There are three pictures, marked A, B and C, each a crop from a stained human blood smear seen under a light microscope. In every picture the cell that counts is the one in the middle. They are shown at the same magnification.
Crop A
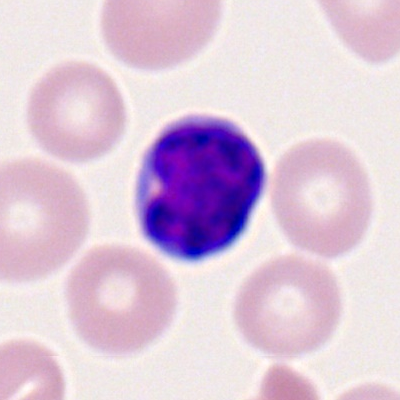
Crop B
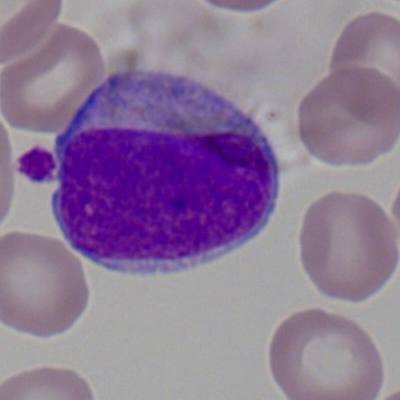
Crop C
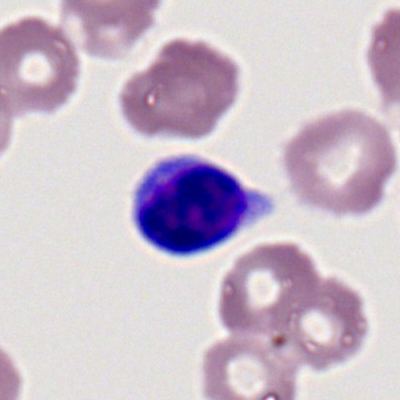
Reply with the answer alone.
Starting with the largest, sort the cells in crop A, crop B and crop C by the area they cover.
B, A, C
